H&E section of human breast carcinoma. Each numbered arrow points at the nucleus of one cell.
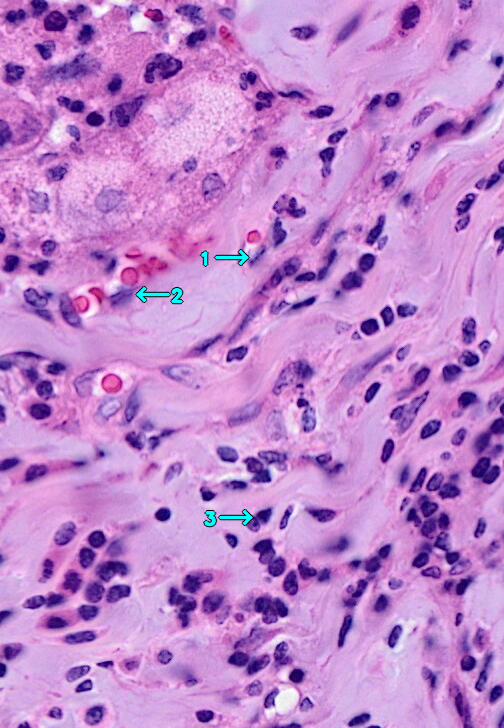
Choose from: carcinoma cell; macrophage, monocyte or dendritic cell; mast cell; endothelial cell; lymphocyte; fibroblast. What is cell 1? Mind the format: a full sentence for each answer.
The cell tagged with 1 in this tissue section is an endothelial cell.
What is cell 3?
Of the numbered cells, the one labelled 3 is a lymphocyte.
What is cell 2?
The nucleus labelled 2 belongs to an endothelial cell.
